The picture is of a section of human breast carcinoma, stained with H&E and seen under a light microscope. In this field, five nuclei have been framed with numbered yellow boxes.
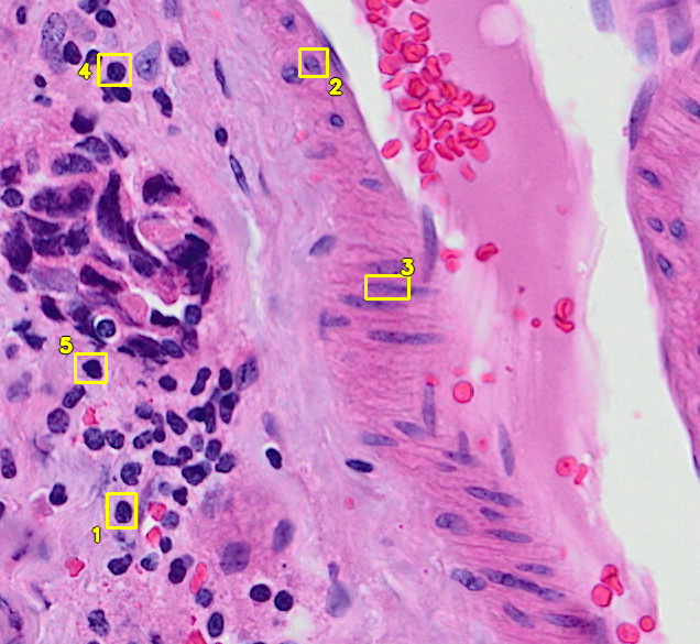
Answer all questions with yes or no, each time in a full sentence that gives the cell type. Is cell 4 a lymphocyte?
Yes, the cell that is numbered 4 is a lymphocyte.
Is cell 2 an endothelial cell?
Yes, cell number 2 is classified as an endothelial cell.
